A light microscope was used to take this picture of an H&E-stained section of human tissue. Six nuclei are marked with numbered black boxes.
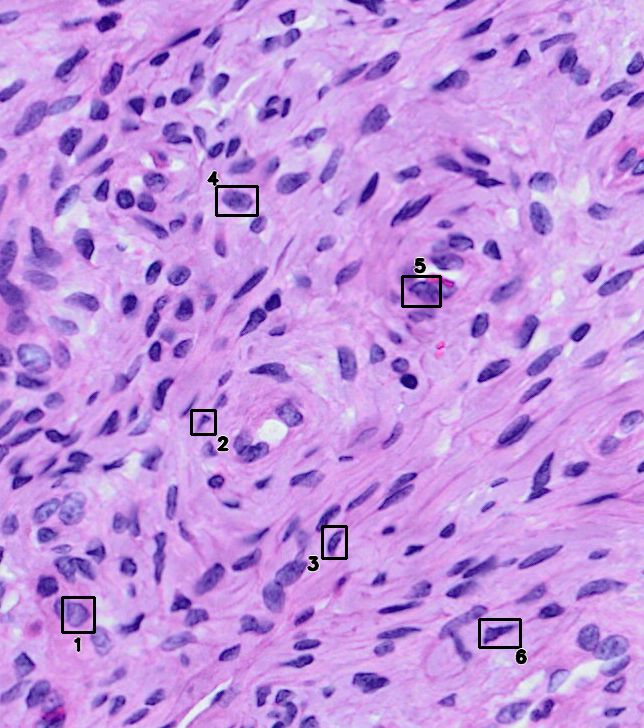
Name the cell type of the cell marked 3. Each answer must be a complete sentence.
Cell 3, among those numbered, is a fibroblast.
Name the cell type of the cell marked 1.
The cell that carries the label 1 is an endothelial cell.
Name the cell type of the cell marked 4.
Numbered cell 4 is a fibroblast in this tissue section.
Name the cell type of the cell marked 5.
Heads up, the cell numbered 5 is an endothelial cell.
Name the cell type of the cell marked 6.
Numbered cell 6 is a fibroblast in this tissue section.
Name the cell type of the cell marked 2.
The numbered cell 2 is identified here as a fibroblast.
